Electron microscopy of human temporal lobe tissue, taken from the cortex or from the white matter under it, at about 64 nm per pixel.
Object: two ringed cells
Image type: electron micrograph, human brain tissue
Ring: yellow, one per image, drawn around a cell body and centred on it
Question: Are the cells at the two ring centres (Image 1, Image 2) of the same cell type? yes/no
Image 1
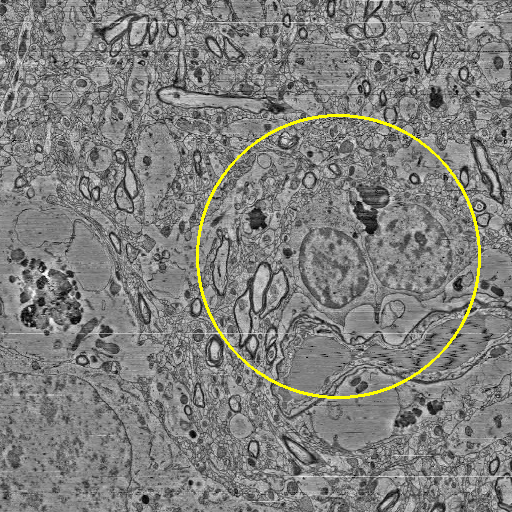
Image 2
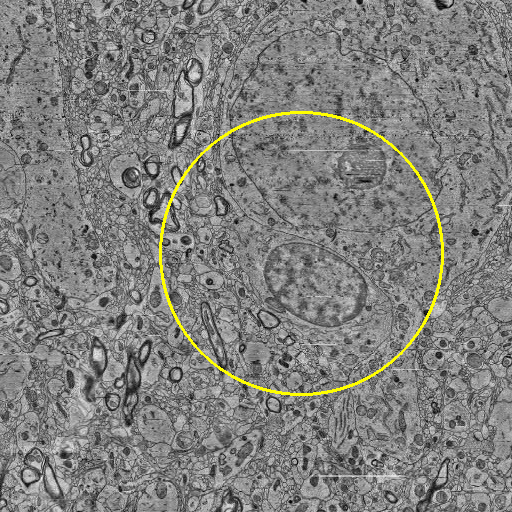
yes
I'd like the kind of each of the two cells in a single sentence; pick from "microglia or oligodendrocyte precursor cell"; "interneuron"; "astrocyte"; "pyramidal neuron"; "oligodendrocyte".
The first and the second cell are each an oligodendrocyte.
